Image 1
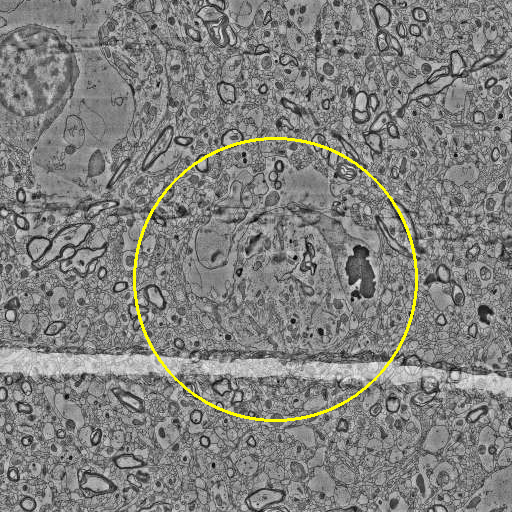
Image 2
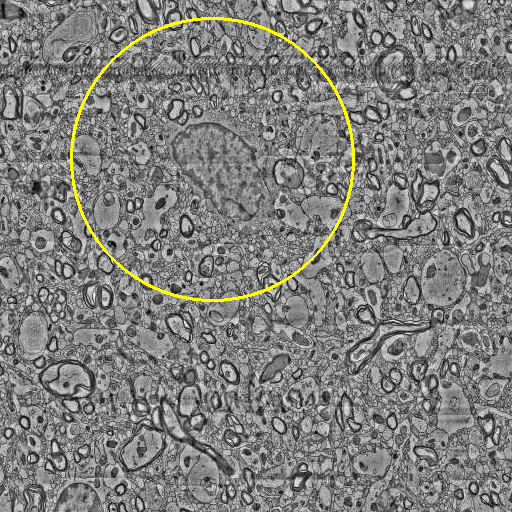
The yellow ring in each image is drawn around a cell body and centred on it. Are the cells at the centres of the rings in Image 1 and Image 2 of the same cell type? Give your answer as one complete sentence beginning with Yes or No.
No, the two cells are of two separate types.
